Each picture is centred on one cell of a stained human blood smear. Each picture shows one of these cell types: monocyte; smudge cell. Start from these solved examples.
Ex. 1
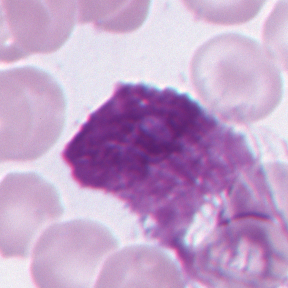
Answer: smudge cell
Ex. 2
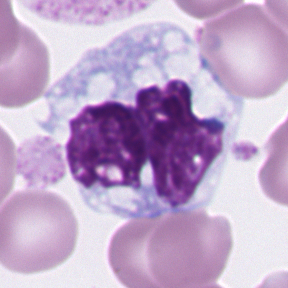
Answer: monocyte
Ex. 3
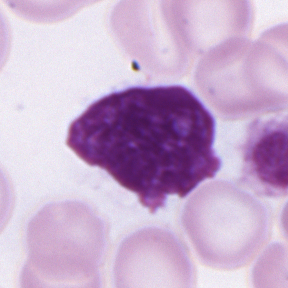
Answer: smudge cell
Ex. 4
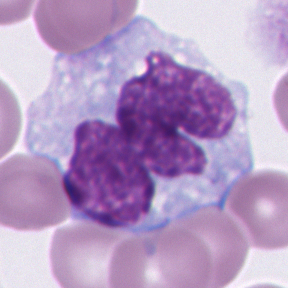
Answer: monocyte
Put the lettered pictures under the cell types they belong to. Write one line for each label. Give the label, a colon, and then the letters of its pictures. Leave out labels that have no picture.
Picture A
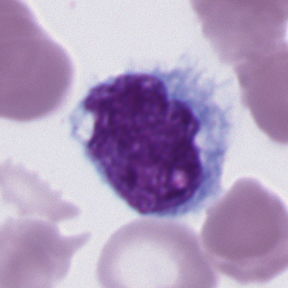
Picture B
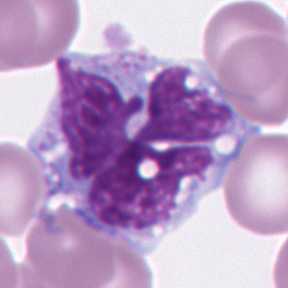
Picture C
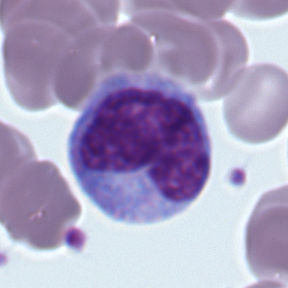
monocyte: A, B, C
